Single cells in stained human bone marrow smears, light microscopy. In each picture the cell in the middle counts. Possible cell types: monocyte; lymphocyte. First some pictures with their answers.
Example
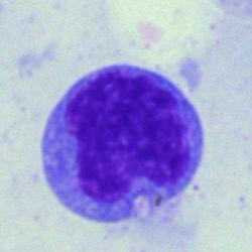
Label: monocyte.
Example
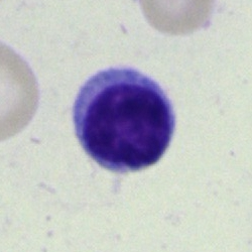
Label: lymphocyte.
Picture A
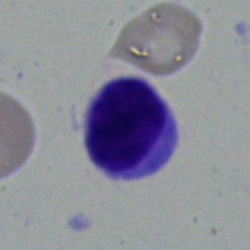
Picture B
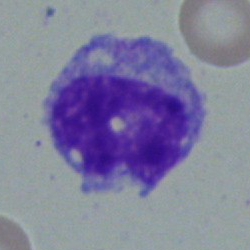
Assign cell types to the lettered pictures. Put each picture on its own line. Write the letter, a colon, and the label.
A: lymphocyte.
B: monocyte.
